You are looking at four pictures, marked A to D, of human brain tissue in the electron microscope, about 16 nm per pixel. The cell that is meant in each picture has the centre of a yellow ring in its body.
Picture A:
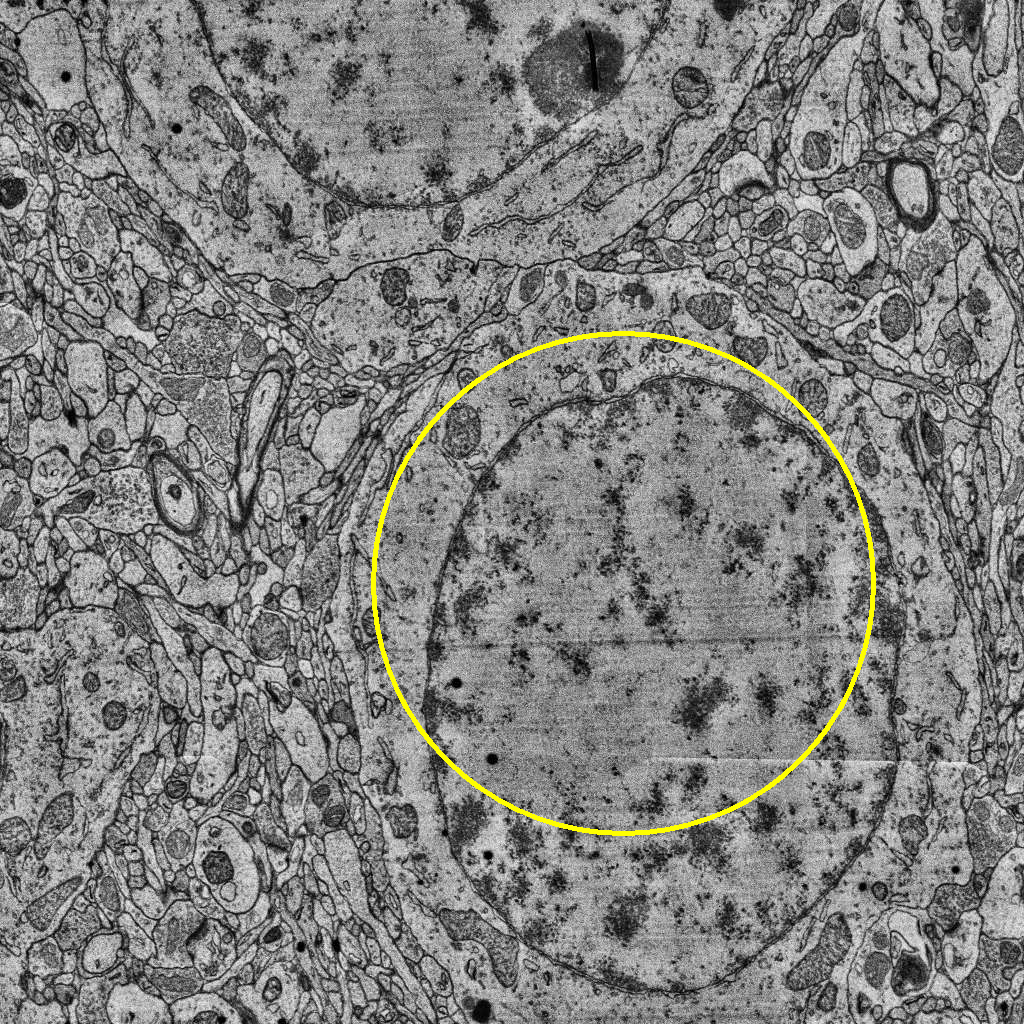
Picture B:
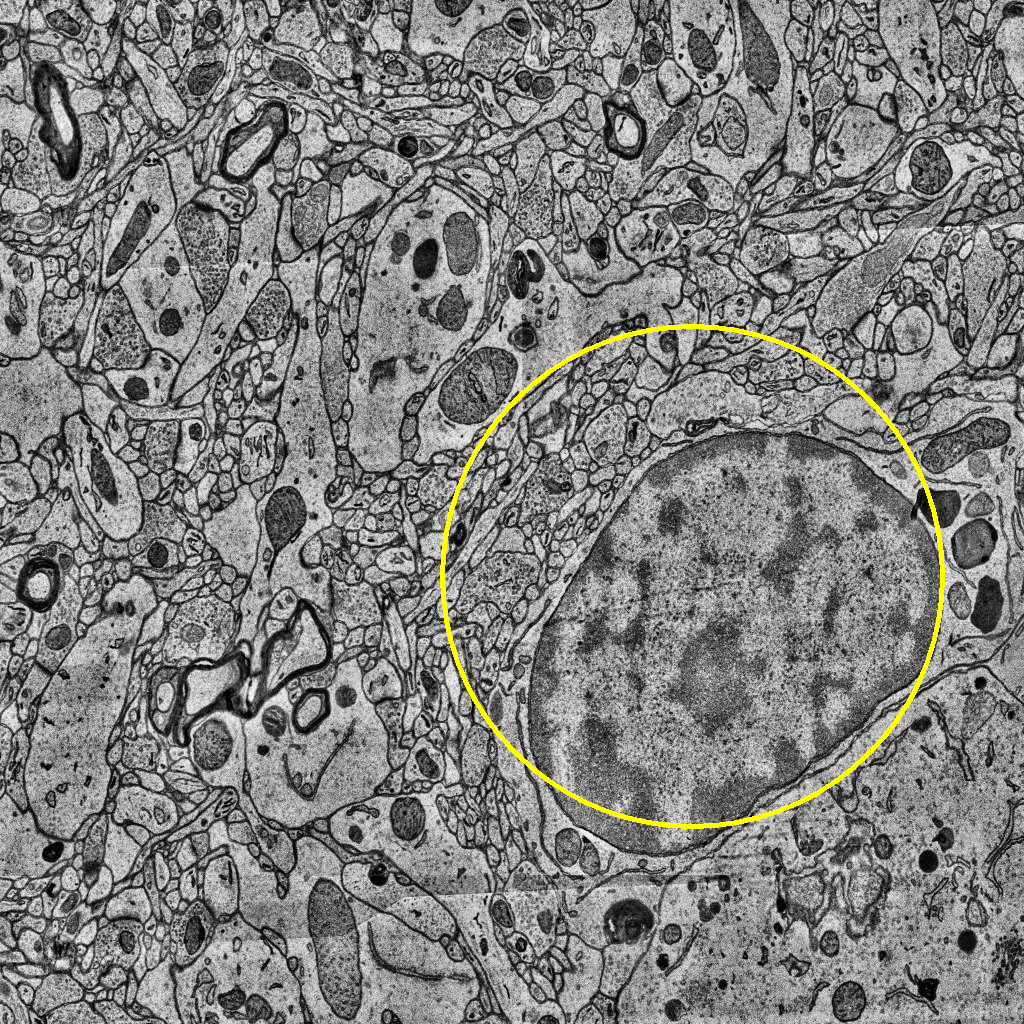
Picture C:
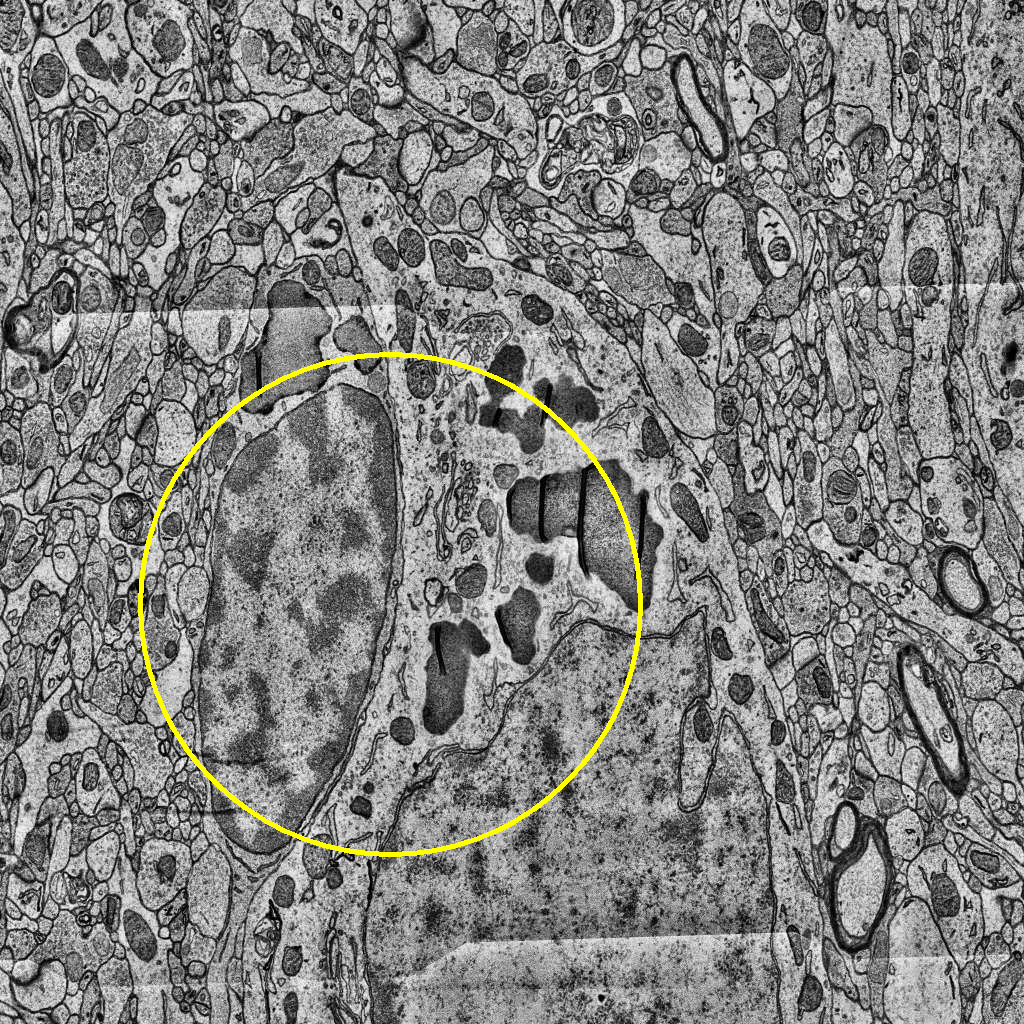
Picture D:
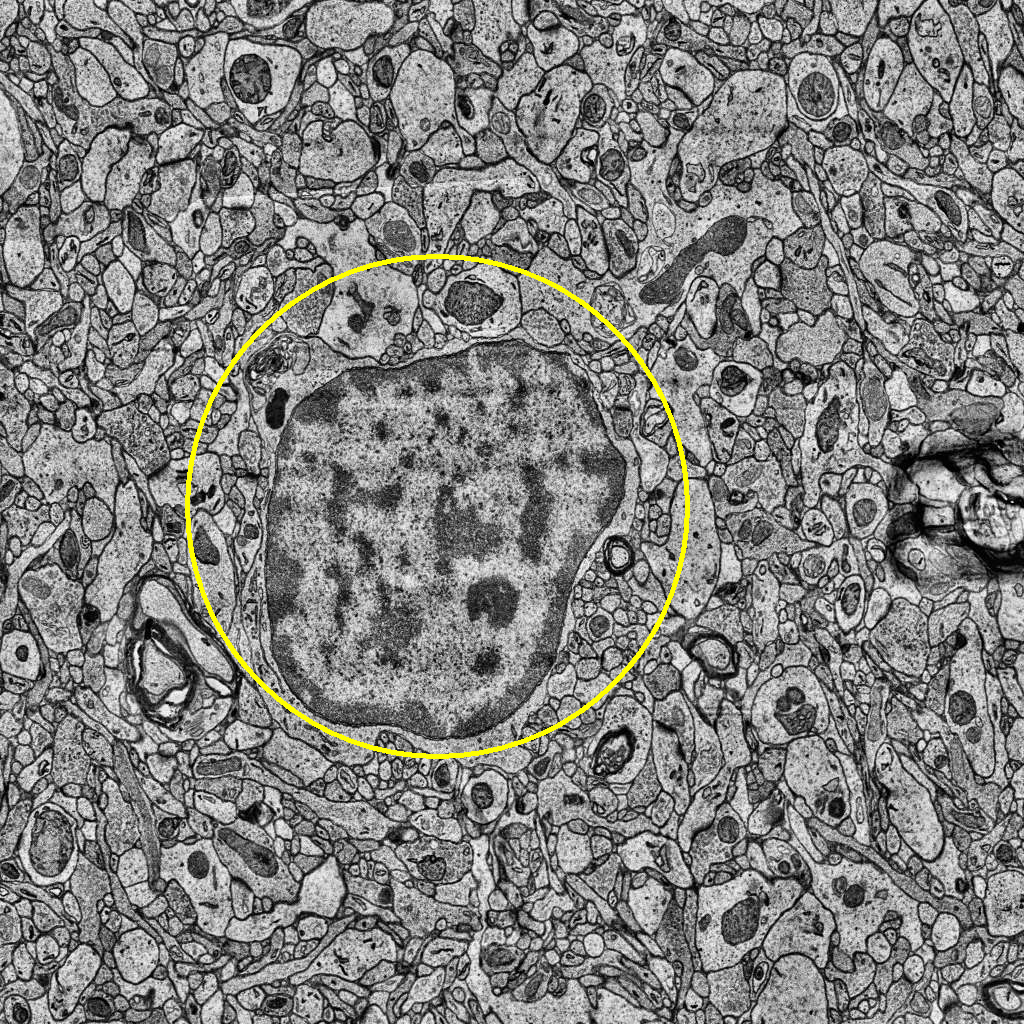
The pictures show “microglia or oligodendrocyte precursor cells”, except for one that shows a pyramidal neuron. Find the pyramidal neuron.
Picture A shows the pyramidal neuron.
